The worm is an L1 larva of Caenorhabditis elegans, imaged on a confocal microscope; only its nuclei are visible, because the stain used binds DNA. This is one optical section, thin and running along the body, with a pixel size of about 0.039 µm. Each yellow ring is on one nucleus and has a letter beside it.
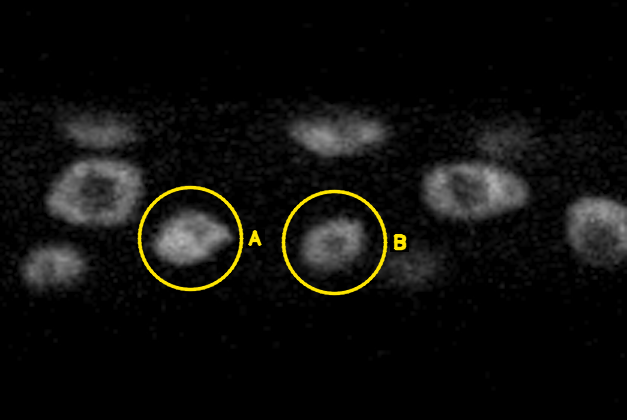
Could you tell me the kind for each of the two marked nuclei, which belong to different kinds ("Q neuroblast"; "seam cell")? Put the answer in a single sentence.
A is in a Q neuroblast and B is in a seam cell.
